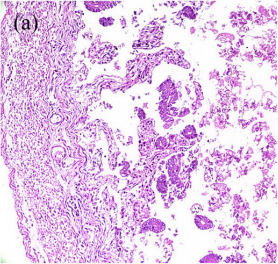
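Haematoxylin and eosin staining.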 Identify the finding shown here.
Necrotised intestinal villi and glands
